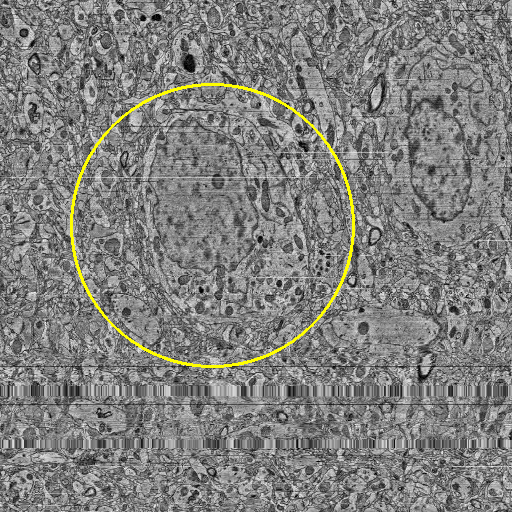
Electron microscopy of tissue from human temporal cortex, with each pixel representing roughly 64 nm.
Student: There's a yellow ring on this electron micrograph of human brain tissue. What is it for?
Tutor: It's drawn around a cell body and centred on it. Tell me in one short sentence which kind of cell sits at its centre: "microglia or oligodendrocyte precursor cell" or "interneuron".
The cell at the centre of the ring is an interneuron.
